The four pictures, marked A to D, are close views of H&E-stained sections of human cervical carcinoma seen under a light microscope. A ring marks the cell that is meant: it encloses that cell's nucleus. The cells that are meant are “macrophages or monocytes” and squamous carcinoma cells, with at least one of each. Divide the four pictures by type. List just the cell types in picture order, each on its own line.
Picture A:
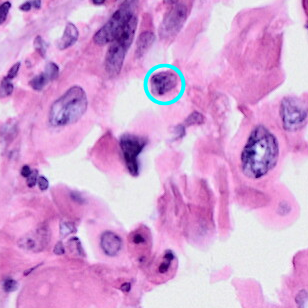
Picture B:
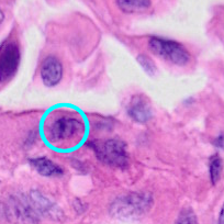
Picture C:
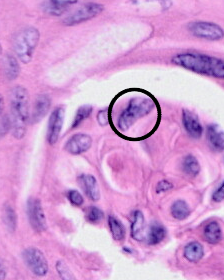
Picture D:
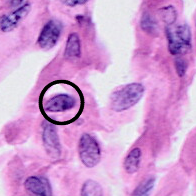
macrophage or monocyte
squamous carcinoma cell
squamous carcinoma cell
squamous carcinoma cell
